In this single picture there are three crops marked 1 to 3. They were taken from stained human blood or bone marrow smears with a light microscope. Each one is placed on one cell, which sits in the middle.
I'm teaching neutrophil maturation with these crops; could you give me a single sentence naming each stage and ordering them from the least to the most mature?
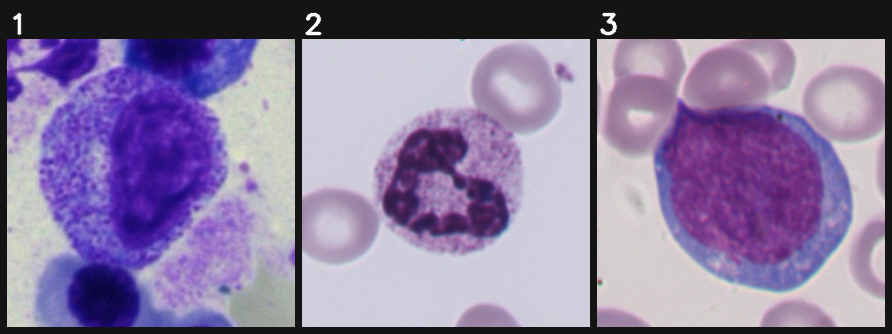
By maturity, starting with the least mature, the order is crop 3 (a promyelocyte), crop 1 (a myelocyte) and crop 2 (a segmented neutrophil).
